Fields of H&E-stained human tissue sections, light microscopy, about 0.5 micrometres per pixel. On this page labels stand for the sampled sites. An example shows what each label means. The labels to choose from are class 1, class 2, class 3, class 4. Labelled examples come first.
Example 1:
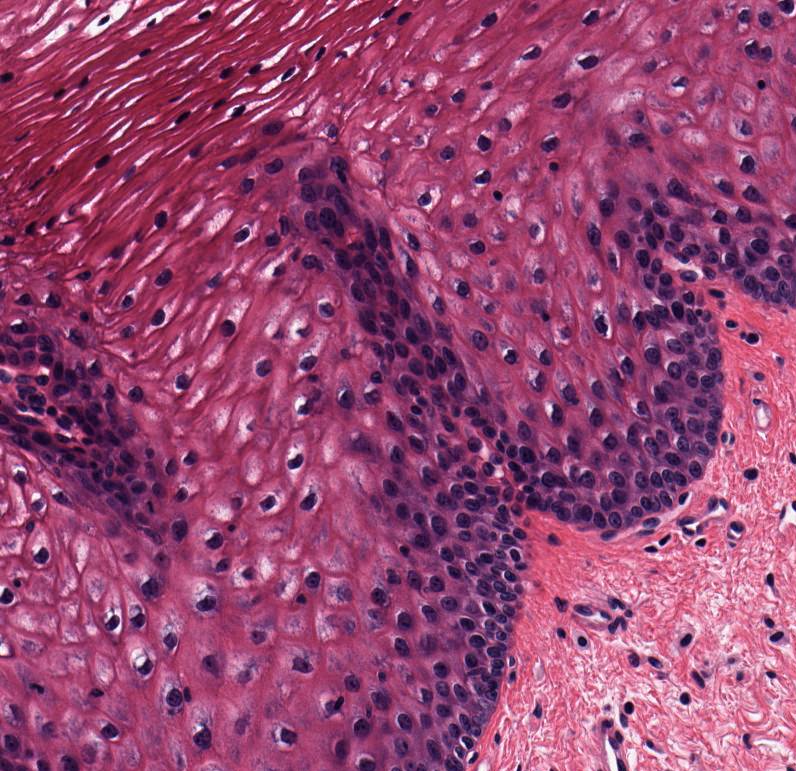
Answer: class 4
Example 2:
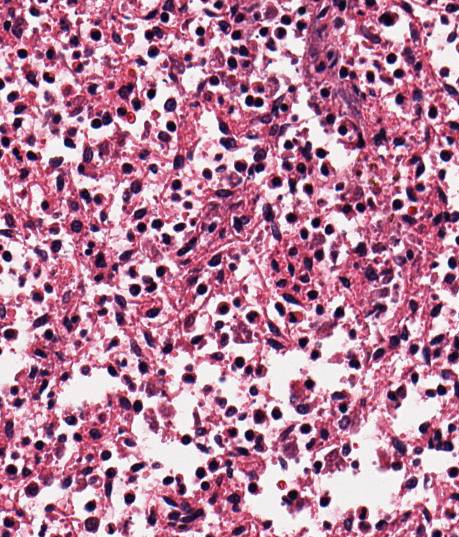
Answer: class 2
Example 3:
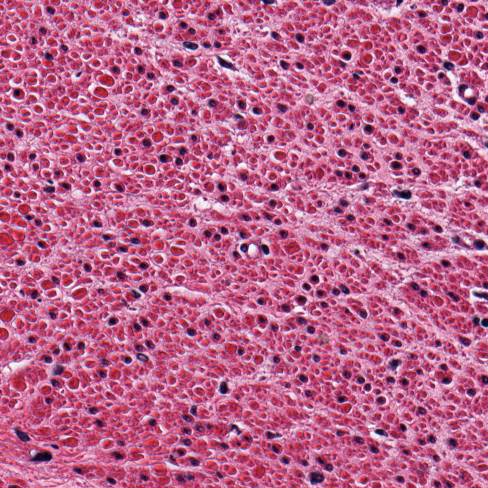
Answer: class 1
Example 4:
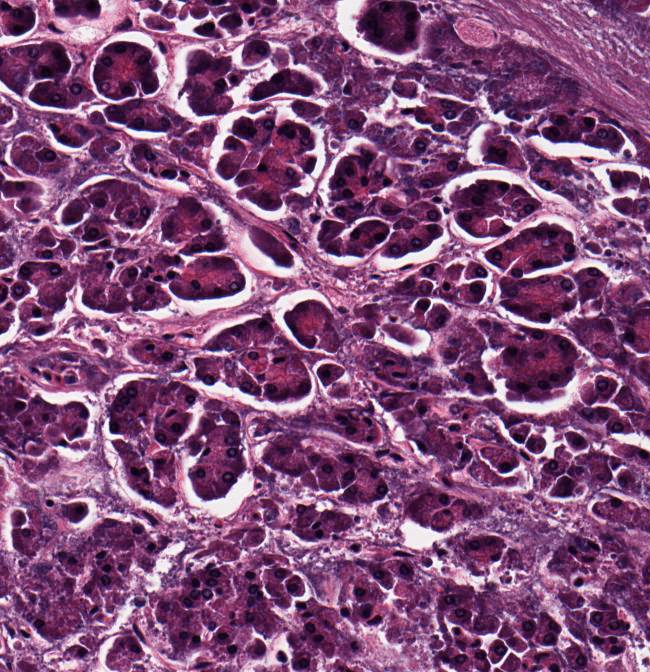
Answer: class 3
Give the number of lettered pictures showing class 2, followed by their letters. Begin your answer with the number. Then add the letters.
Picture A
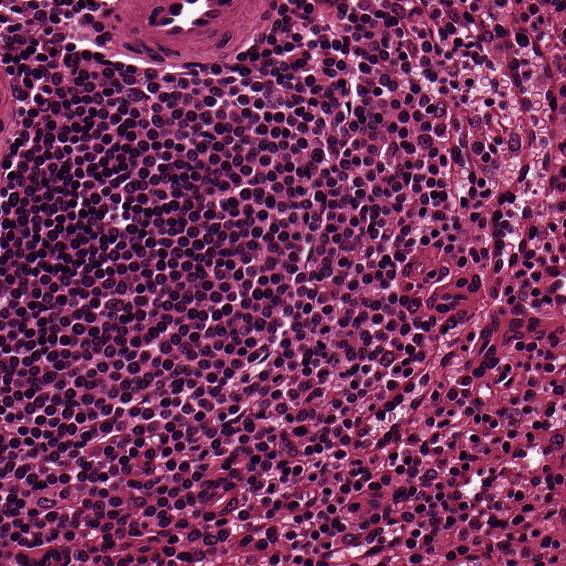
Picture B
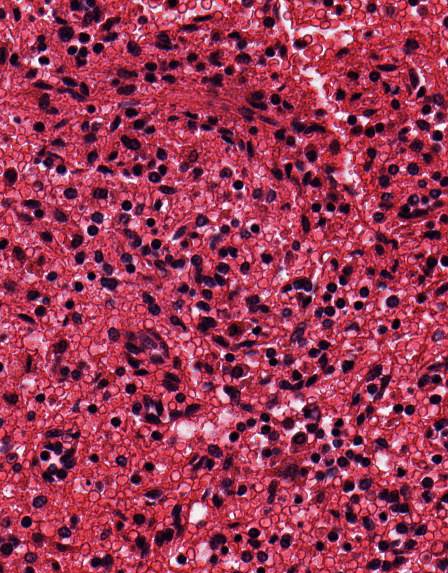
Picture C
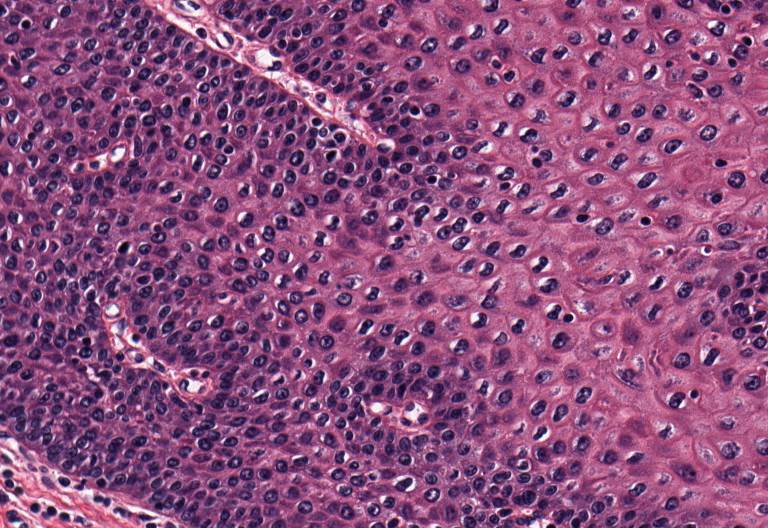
2, namely A, B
